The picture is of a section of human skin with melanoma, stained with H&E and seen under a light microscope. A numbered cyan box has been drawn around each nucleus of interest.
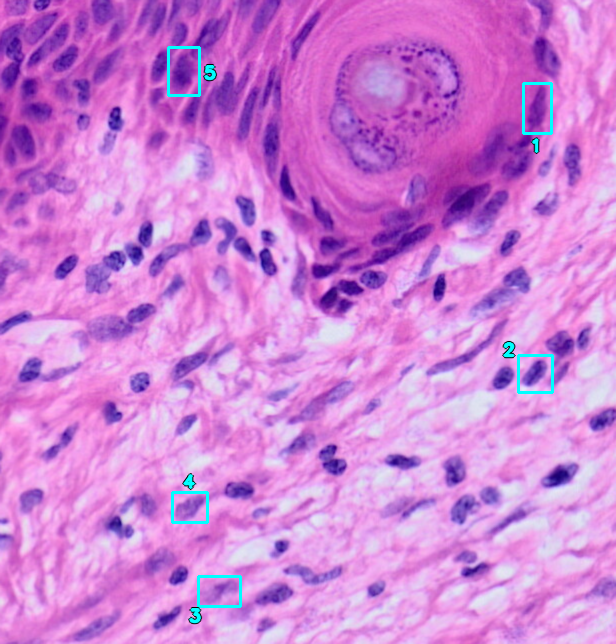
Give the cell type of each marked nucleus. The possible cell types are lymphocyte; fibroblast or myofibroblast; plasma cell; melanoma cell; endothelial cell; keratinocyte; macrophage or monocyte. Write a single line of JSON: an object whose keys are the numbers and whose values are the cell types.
{"1": "keratinocyte", "2": "lymphocyte", "3": "fibroblast or myofibroblast", "4": "fibroblast or myofibroblast", "5": "keratinocyte"}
